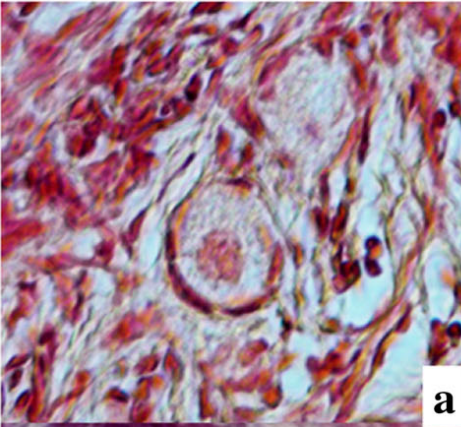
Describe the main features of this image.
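In ovarian cortex, a round follicle sits among spindle-shaped stromal cells with dark elongated nuclei, and a second paler one lies just above it. The follicle holds a large round oocyte with pale granular cytoplasm and a central round nucleus, enclosed by a single thin ring of flattened cells. This is a primordial follicle of intact appearance.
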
